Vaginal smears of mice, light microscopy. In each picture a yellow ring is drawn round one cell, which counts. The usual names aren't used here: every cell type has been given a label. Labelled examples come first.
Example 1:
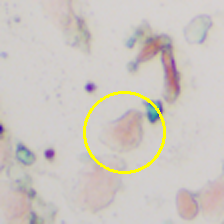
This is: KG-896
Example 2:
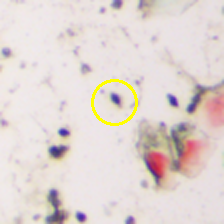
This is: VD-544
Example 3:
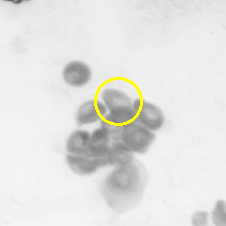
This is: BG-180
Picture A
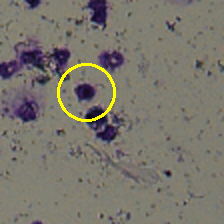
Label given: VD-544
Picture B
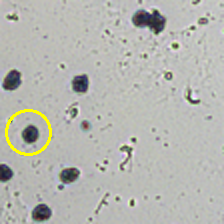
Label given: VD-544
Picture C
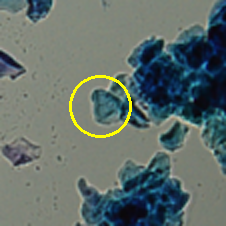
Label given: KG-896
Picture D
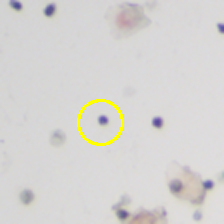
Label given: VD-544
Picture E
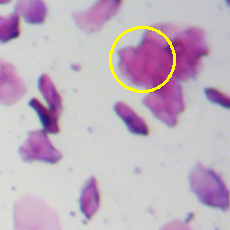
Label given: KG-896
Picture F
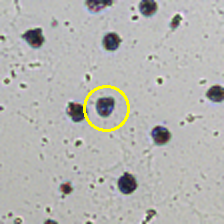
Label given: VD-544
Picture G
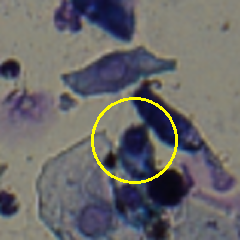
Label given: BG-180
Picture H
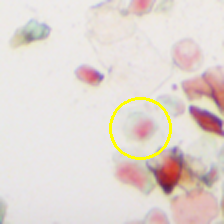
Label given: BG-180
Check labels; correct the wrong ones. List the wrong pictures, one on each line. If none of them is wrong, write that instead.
All labels are correct.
